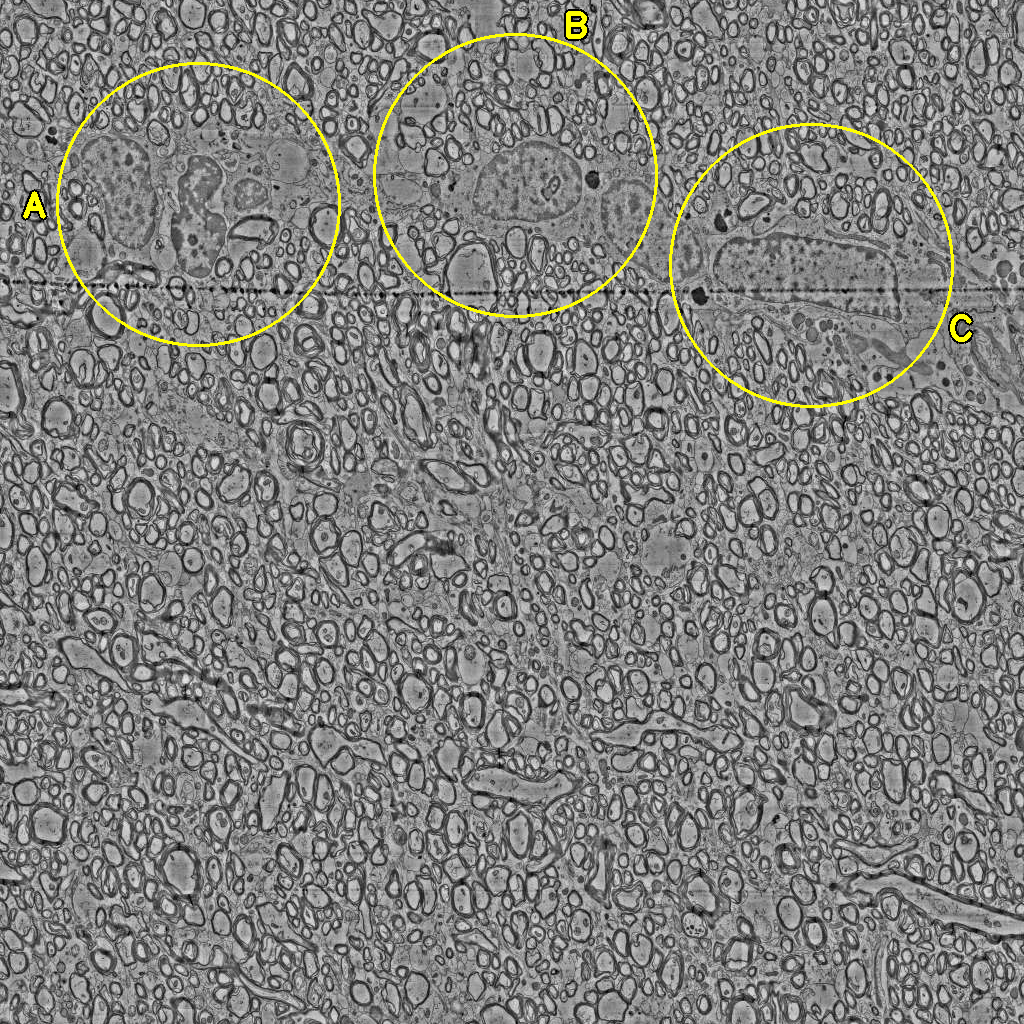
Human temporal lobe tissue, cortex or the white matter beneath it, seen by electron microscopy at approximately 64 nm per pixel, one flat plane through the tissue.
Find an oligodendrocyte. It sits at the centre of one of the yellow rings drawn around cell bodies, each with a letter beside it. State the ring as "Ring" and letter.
Ring B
